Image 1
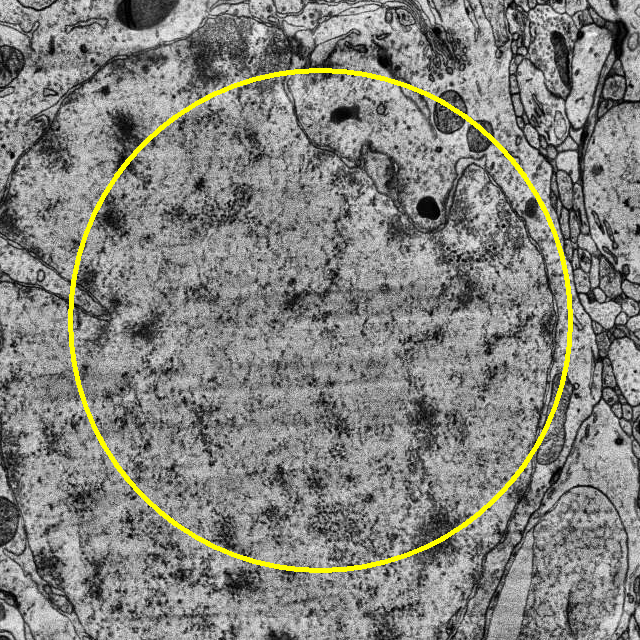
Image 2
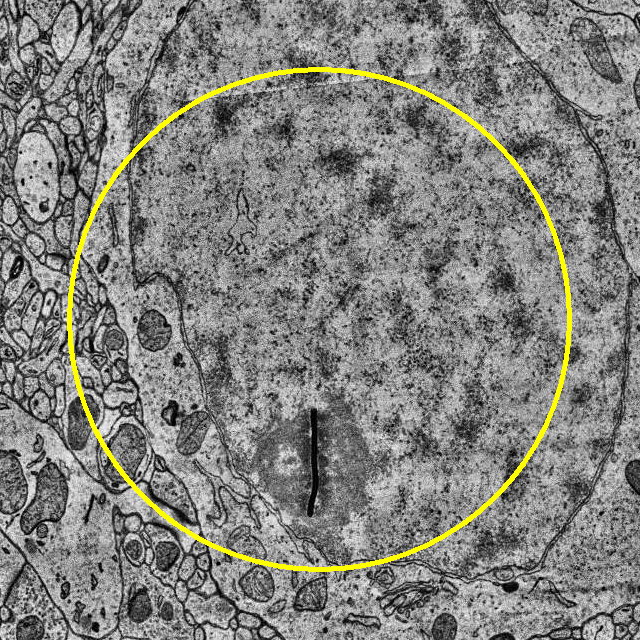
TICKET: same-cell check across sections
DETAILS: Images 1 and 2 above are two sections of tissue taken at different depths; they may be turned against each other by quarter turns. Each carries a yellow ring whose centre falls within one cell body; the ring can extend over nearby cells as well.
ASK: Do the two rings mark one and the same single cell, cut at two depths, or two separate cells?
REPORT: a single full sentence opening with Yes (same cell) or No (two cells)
Yes, the two yellow circles hold the same cell.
